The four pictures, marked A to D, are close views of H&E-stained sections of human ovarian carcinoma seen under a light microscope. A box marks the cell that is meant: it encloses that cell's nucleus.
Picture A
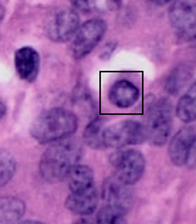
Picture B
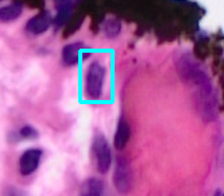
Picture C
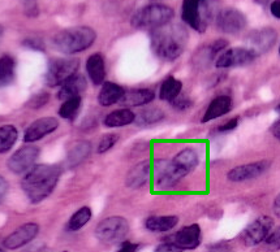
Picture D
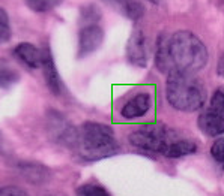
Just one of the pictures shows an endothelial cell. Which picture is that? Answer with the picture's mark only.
C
